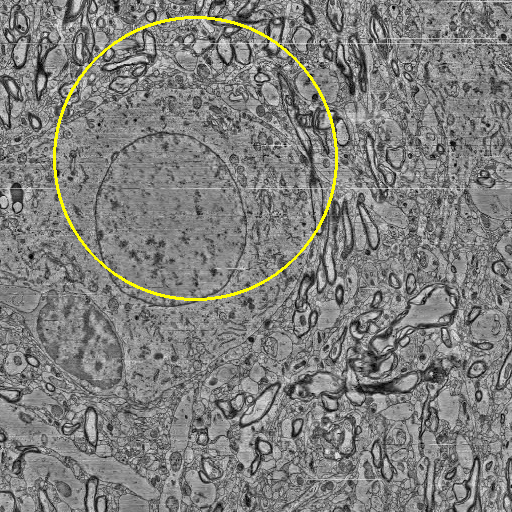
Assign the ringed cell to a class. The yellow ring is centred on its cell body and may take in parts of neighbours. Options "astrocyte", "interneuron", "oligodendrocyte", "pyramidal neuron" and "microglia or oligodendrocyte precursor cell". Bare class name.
pyramidal neuron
